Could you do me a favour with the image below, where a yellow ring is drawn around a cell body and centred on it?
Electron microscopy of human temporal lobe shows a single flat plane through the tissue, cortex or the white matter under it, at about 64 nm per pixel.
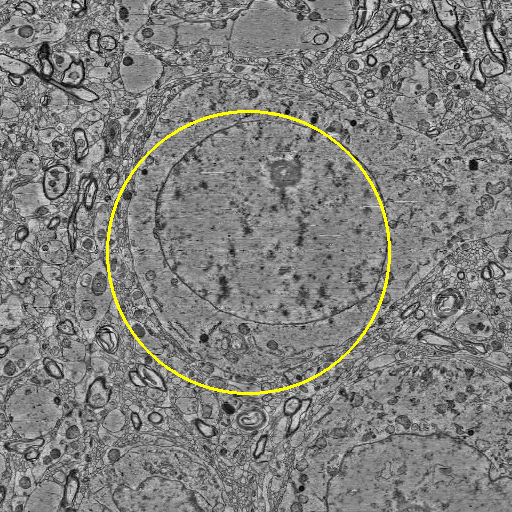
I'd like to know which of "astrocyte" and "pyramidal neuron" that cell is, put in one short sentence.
The cell at the ring's centre is a pyramidal neuron.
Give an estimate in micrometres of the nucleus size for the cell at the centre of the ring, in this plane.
In this plane, the nucleus of the cell at the centre of the ring is about 15 micrometres across.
